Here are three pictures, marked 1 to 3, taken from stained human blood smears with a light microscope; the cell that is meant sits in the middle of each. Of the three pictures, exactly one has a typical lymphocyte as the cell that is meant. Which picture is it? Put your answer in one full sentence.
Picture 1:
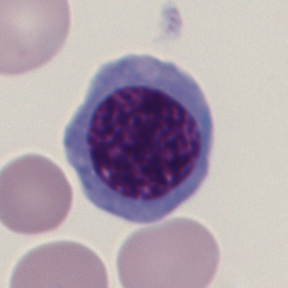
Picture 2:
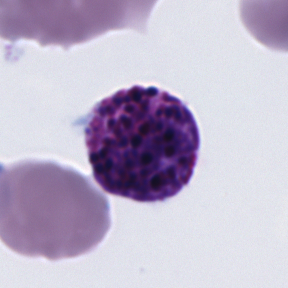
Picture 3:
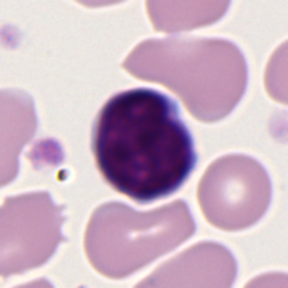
The picture with the typical lymphocyte is 3.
